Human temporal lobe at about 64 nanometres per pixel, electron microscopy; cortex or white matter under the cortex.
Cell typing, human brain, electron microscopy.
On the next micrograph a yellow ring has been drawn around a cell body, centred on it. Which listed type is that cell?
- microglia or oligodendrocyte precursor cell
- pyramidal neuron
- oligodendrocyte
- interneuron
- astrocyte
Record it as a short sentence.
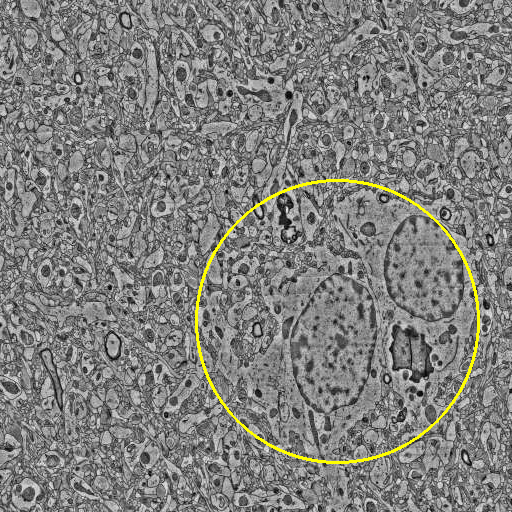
The cell body in the ring's centre belongs to an astrocyte.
